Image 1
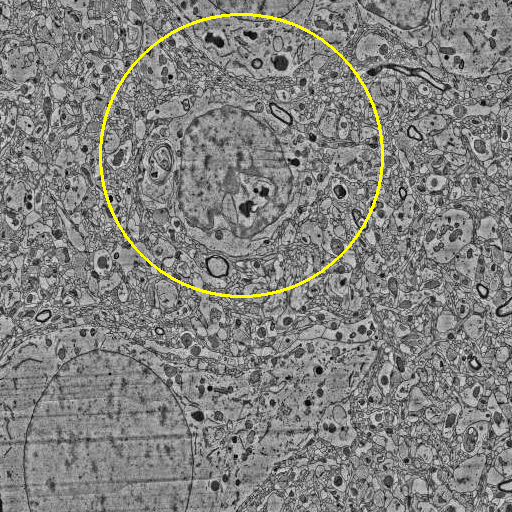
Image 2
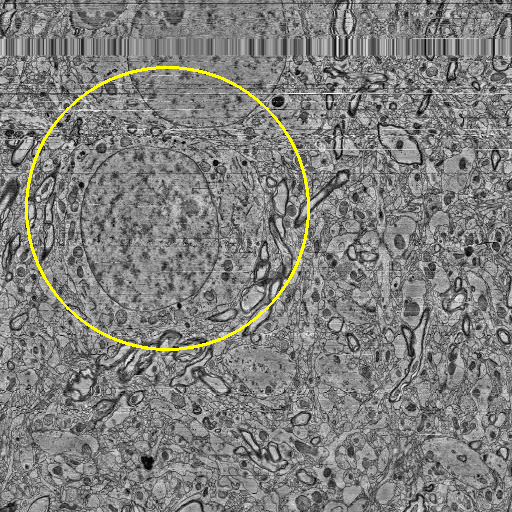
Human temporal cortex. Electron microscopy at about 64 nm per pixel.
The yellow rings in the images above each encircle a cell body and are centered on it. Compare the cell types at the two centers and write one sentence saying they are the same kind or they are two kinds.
Taken together, the two cells at the ring centers are the same kind.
